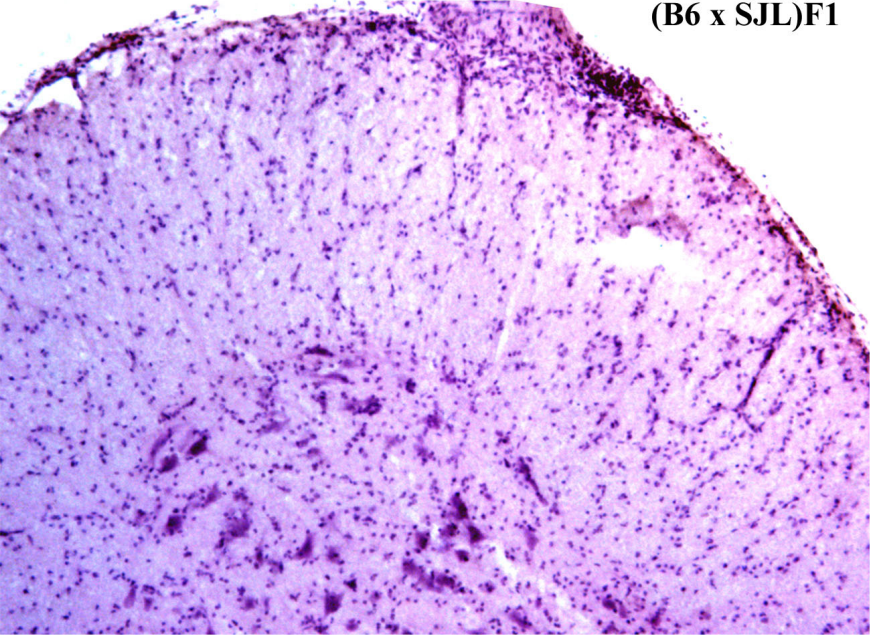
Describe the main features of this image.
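A section of spinal cord stained pink with purple nuclei shows a thick, tightly packed collection of small round dark nuclei along the outer surface at the upper right, with further small dark cells spread through the pale tissue beneath. Deeper in the section lie larger, irregular purple-stained cell bodies in groups. The crowding of small round cells at the surface and within the tissue is an extensive mononuclear cell infiltration.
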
